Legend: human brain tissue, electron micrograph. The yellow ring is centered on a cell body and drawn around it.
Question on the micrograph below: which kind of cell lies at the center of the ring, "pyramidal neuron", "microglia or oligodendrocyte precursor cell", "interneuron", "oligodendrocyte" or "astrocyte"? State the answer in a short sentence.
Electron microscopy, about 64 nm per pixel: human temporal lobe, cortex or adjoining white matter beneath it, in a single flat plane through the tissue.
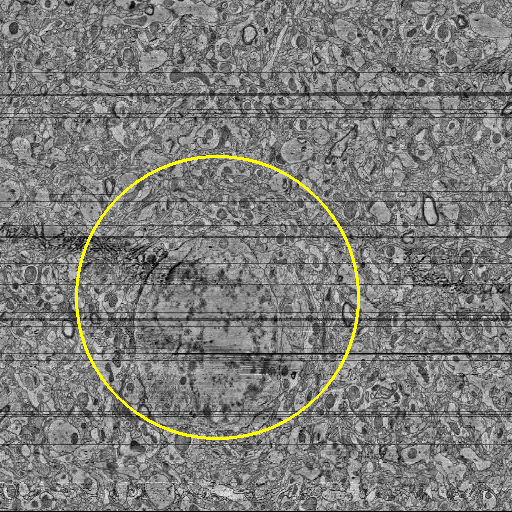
At the center of the ring lies an interneuron.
